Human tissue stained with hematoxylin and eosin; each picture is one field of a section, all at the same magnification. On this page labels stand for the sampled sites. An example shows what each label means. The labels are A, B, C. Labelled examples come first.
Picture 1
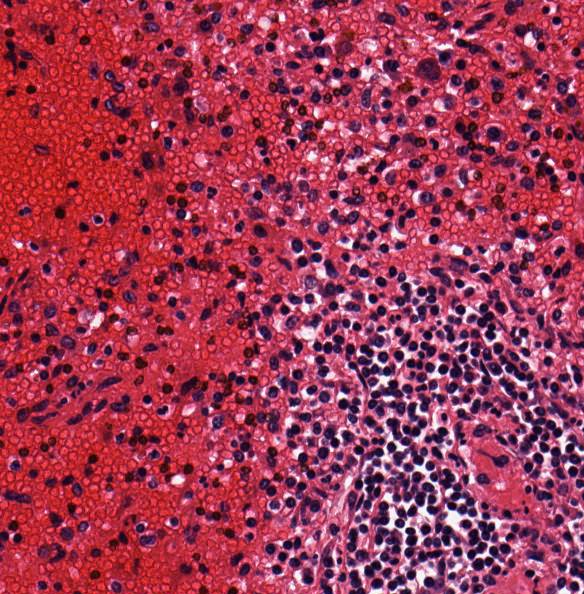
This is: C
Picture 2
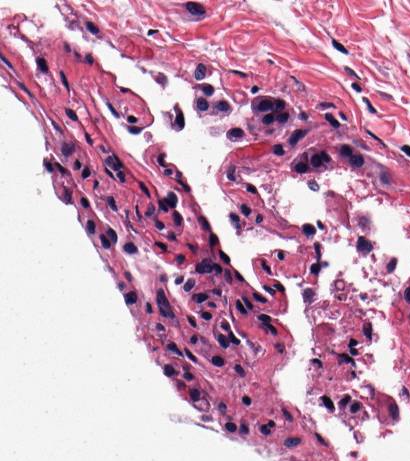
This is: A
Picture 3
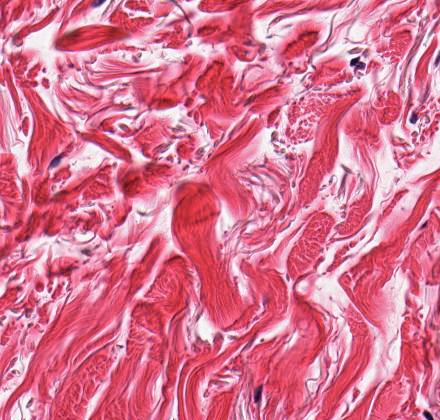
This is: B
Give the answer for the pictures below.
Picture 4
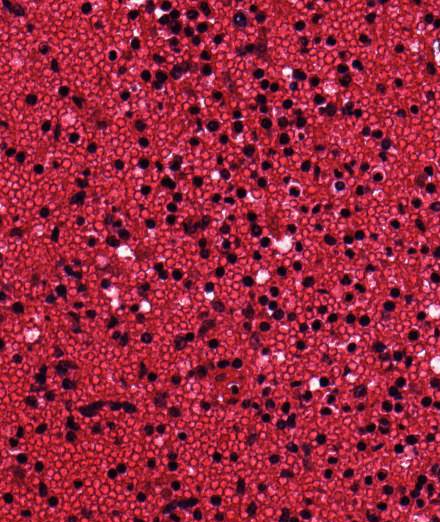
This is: C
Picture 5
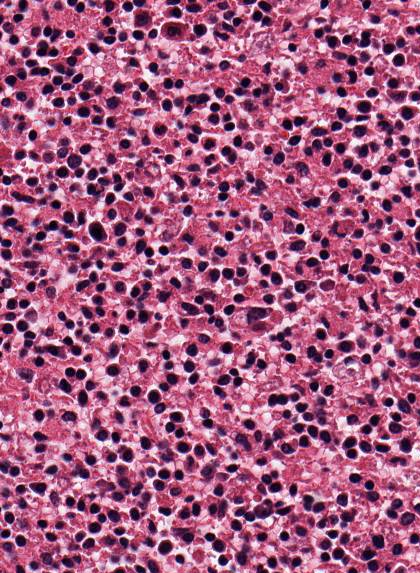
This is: C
